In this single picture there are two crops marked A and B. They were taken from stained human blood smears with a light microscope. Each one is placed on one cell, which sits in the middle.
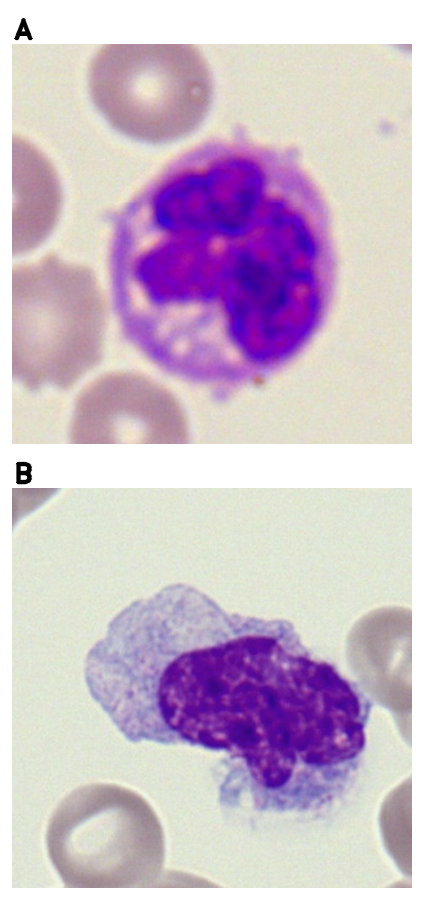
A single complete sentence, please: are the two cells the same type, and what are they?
Yes, both crops contain monocytes at their centres.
